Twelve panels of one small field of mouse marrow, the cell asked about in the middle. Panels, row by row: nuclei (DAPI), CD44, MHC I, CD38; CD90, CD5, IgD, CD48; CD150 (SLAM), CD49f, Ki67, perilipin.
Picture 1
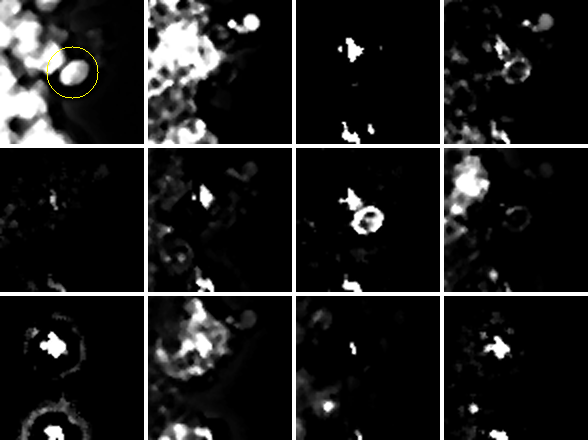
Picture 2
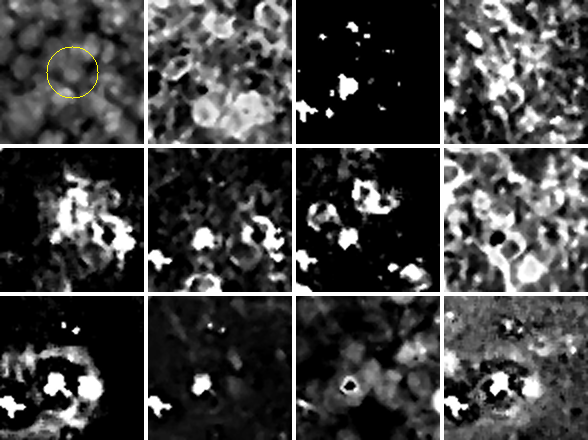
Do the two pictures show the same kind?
No: a B cell, then a monocyte.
